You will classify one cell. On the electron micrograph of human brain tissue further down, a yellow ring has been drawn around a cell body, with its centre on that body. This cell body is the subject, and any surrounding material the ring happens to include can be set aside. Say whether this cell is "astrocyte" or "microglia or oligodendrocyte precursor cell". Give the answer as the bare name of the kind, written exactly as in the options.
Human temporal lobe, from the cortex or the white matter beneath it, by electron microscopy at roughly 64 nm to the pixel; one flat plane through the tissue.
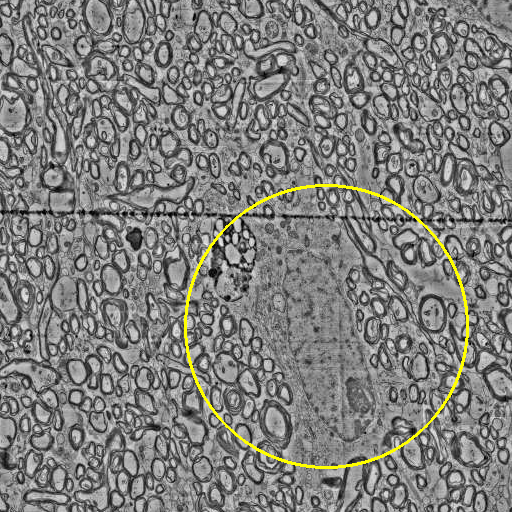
astrocyte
